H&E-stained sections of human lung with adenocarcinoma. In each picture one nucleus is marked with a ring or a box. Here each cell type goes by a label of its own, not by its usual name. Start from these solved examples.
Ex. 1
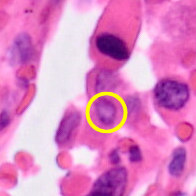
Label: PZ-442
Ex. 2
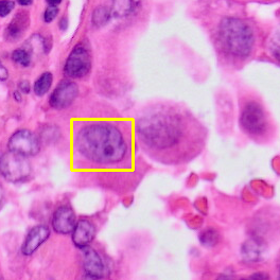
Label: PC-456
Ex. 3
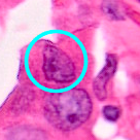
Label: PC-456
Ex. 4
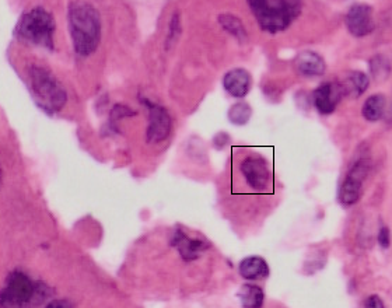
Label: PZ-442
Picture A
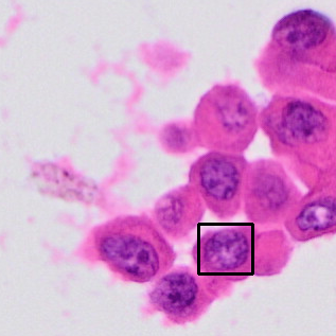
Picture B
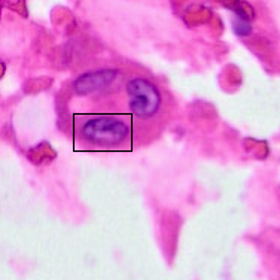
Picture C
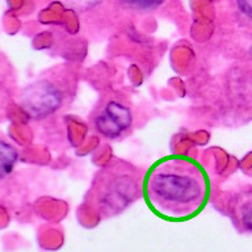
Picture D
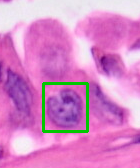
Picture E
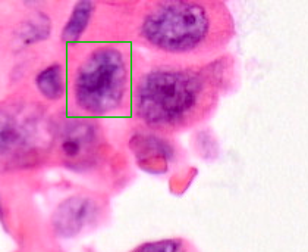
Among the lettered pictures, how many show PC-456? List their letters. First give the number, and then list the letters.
3: A, D, E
